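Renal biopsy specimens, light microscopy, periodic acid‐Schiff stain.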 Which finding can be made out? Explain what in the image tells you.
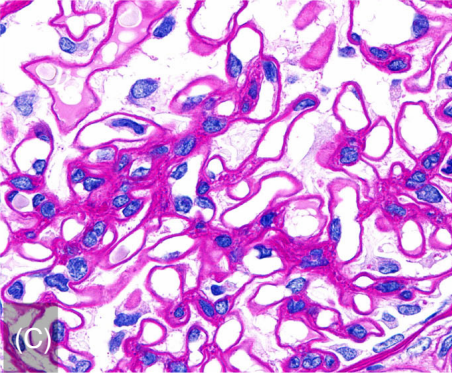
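Capillary loop walls are broad, bright magenta bands. Magenta material accumulates between loops around nuclei. So: capillary walls were thickened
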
